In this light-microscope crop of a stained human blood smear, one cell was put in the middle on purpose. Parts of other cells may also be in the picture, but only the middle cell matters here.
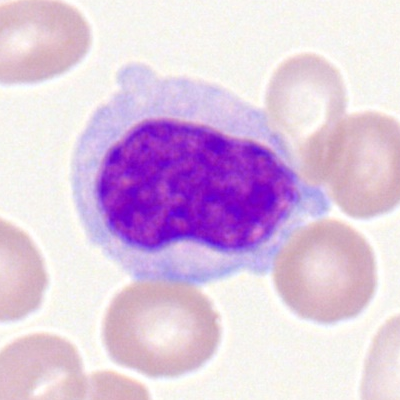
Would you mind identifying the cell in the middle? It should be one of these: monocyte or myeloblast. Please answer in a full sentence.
Classified as a monocyte is the cell in the middle of this crop.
